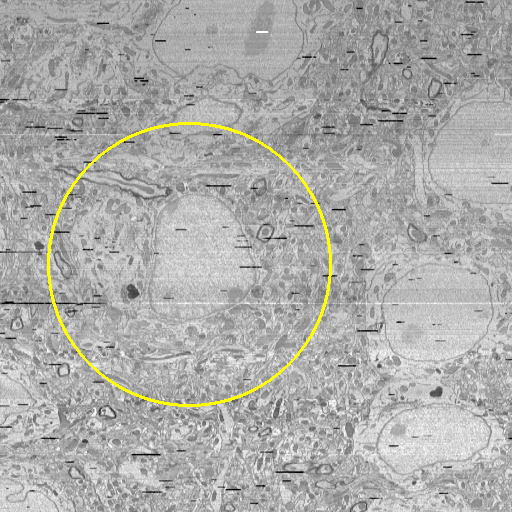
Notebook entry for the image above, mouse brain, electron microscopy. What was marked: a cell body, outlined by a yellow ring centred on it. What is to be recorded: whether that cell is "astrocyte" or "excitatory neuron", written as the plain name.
astrocyte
